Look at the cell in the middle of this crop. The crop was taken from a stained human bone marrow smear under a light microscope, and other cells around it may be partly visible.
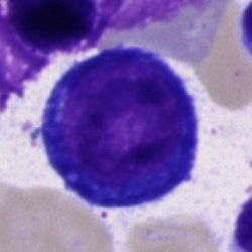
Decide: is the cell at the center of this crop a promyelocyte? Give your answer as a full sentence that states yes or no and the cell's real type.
No, the middle of this crop is occupied by a proerythroblast rather than a promyelocyte.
